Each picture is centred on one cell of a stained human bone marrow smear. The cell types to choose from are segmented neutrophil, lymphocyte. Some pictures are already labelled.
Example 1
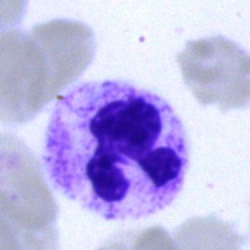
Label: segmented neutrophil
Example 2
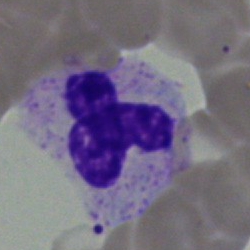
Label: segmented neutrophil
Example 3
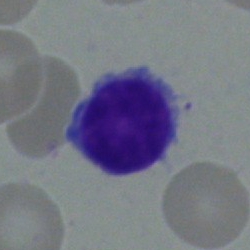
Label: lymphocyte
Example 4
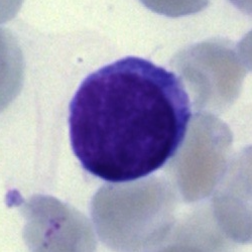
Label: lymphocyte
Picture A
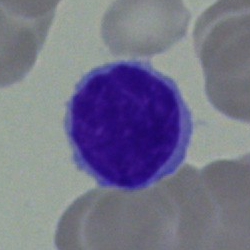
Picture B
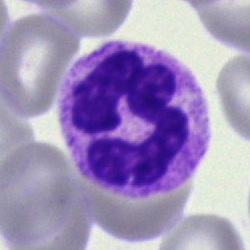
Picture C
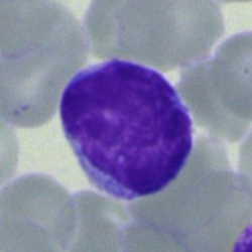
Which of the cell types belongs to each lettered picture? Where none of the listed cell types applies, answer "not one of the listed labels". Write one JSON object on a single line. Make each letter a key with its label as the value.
{"A": "lymphocyte", "B": "segmented neutrophil", "C": "lymphocyte"}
